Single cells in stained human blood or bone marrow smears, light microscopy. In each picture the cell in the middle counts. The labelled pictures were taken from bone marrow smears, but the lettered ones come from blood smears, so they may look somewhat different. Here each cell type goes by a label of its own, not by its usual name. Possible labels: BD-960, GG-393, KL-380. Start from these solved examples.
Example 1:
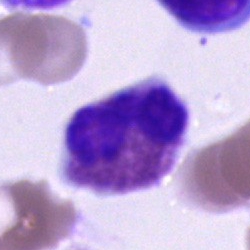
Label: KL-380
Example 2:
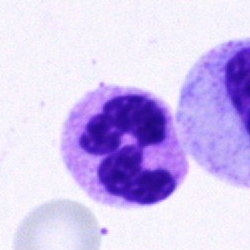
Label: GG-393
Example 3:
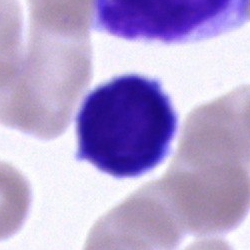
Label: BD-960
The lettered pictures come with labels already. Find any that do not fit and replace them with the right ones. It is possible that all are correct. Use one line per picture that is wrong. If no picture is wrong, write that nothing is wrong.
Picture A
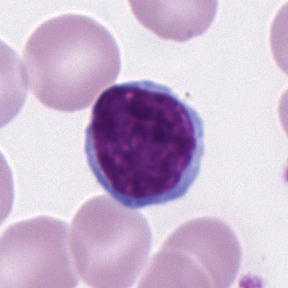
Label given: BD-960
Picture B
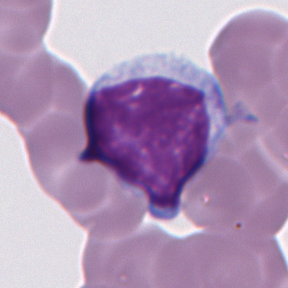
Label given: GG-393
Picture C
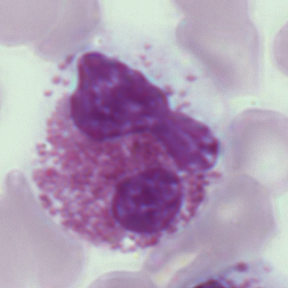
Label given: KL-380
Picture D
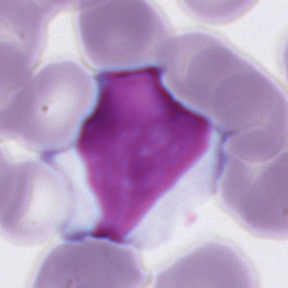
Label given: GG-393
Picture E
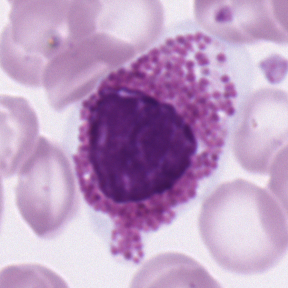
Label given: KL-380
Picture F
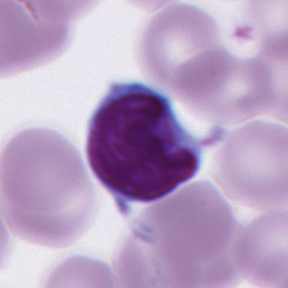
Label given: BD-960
Wrong: B (GG-393); correct: BD-960
Wrong: D (GG-393); correct: BD-960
